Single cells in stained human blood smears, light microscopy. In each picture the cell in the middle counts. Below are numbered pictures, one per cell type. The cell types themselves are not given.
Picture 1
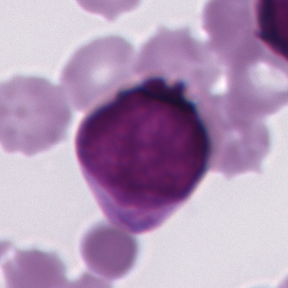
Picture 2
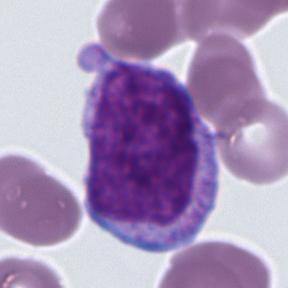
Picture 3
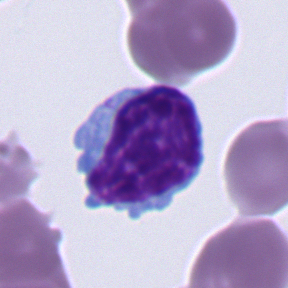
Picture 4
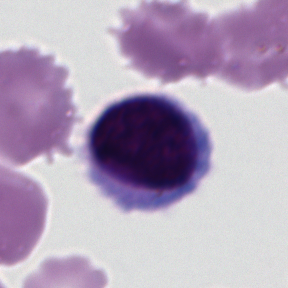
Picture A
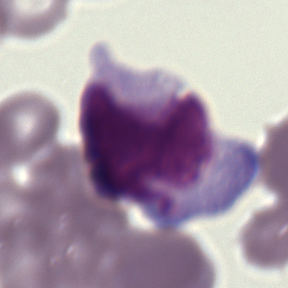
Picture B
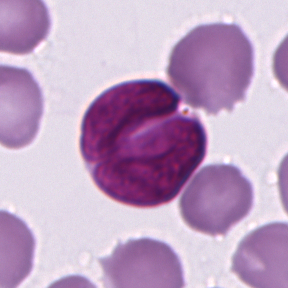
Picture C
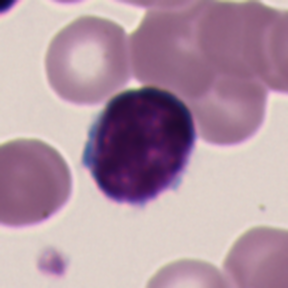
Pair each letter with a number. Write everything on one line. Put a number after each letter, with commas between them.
A 1, B 1, C 3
